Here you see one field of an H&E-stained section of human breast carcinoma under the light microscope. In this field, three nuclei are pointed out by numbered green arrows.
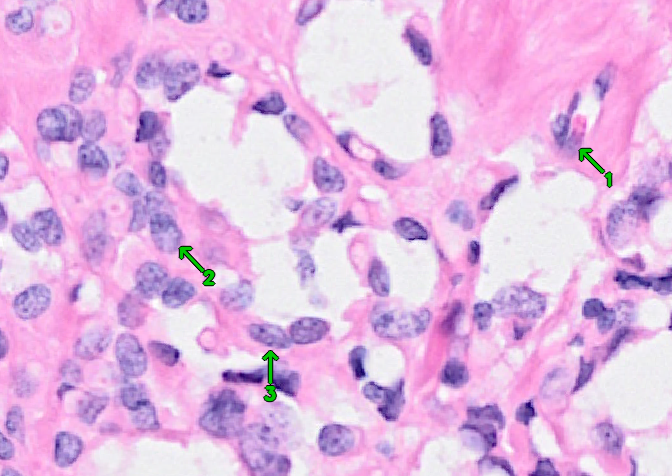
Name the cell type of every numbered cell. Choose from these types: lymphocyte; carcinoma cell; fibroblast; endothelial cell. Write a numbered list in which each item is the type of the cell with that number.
1. endothelial cell
2. carcinoma cell
3. carcinoma cell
